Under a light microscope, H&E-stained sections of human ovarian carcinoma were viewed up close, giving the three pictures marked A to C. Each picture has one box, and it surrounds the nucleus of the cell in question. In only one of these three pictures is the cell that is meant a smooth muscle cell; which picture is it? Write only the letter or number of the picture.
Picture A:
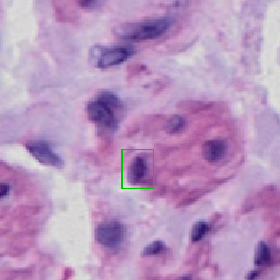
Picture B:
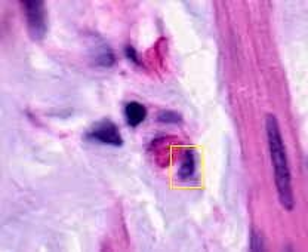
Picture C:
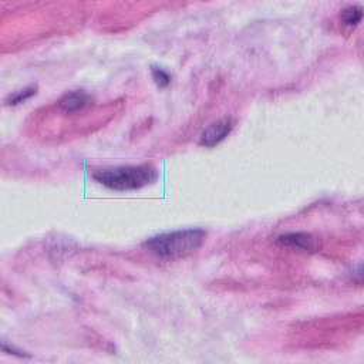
A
